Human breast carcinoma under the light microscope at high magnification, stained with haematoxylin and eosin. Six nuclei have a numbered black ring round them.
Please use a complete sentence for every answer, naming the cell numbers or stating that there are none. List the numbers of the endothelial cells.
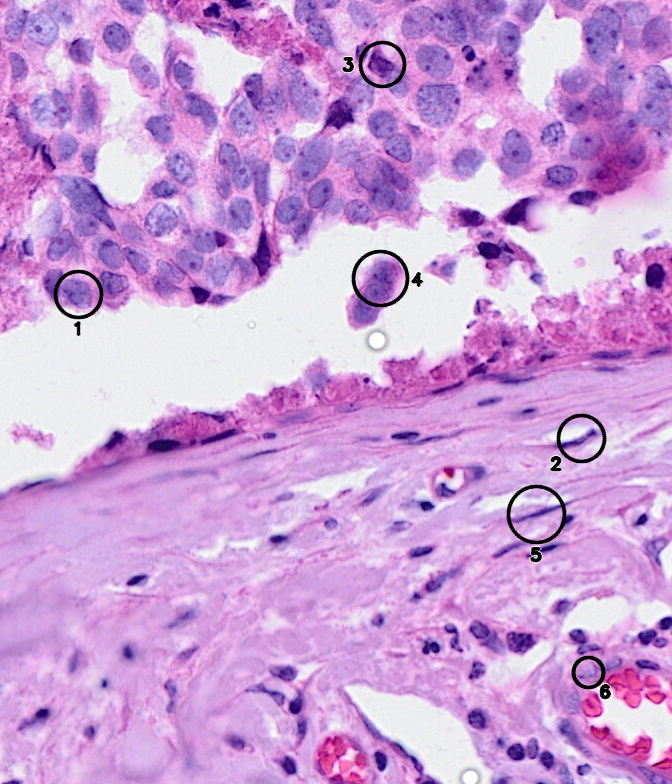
Only the nucleus marked 6 is that of an endothelial cell.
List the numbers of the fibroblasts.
Cells 2 and 5 are classified as fibroblasts.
